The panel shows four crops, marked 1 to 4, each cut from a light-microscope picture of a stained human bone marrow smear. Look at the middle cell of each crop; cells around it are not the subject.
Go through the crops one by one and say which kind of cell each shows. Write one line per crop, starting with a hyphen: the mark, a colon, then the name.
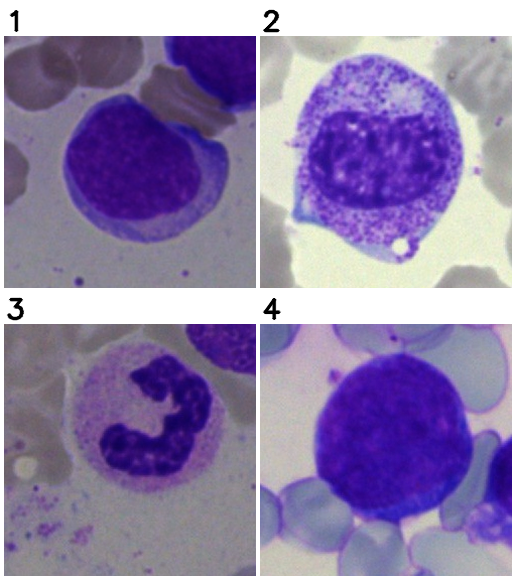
- 1: blast
- 2: myelocyte
- 3: segmented neutrophil
- 4: blast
